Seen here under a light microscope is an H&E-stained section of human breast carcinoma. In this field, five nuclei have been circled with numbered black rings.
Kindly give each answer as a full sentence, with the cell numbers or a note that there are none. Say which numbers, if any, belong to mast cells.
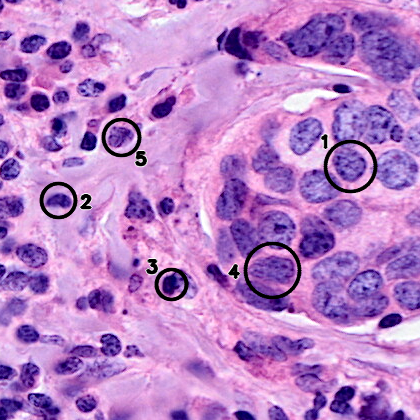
The correct answer is that none of the numbered cells are mast cells.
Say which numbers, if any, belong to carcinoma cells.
The cells the numbers 1 and 4 point to are carcinoma cells.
